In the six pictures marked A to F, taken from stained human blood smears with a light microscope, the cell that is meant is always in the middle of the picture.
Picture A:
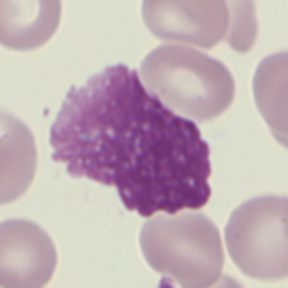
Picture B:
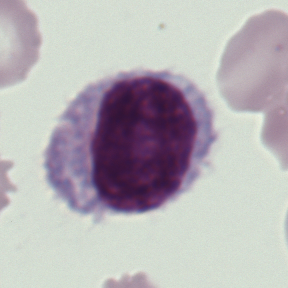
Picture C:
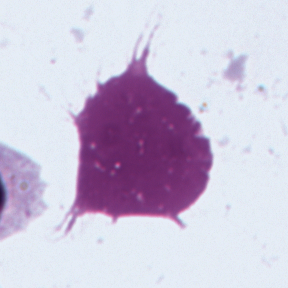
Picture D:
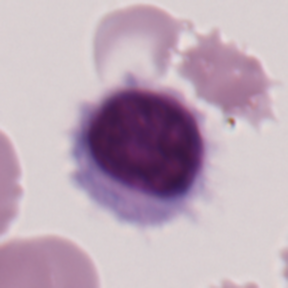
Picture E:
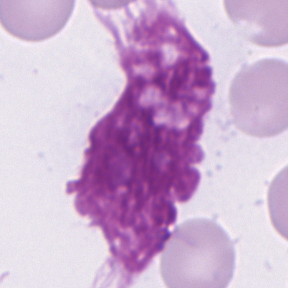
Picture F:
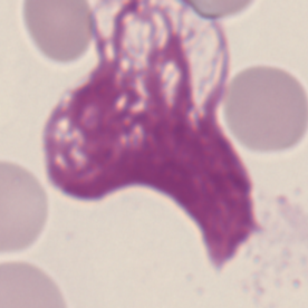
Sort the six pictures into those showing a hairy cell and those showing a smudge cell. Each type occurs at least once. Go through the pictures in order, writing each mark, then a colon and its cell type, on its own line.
A: smudge cell
B: hairy cell
C: smudge cell
D: hairy cell
E: smudge cell
F: smudge cell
